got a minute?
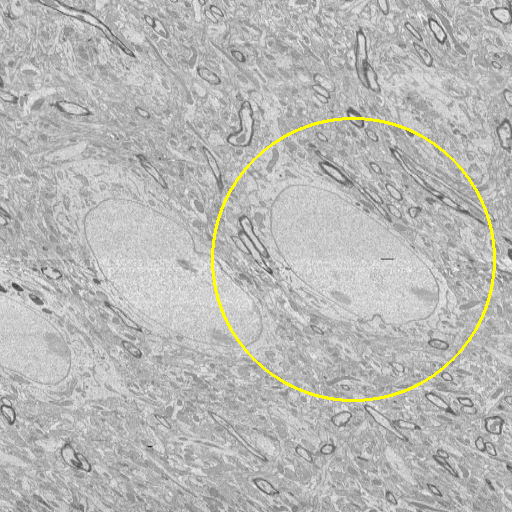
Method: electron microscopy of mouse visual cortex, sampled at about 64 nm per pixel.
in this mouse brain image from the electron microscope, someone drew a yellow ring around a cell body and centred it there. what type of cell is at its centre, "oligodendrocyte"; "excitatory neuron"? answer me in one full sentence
It's an excitatory neuron at the middle of that yellow ring in the shot.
